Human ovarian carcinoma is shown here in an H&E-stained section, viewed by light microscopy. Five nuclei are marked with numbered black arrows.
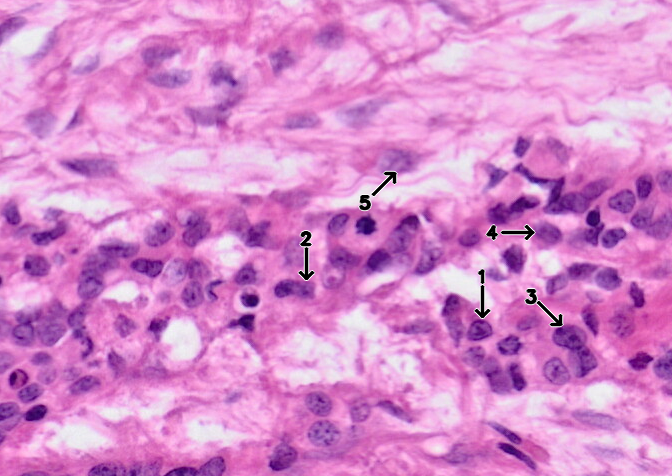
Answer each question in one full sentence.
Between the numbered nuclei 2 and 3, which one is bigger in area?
Nucleus 3 is the larger one, covering about 2 times the area of nucleus 2.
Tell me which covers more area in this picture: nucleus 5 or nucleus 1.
It is nucleus 5, which covers about 1.5 times the area of nucleus 1.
